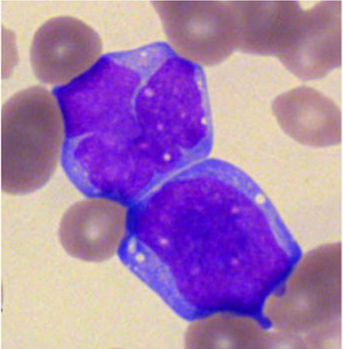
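Two large blast cells lie among red cells in a blood smear, each with a big purple nucleus of finely dispersed chromatin that fills most of the cell. The upper nucleus is irregular and folded, and the rim of blue cytoplasm around both nuclei holds a few small clear vacuoles.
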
